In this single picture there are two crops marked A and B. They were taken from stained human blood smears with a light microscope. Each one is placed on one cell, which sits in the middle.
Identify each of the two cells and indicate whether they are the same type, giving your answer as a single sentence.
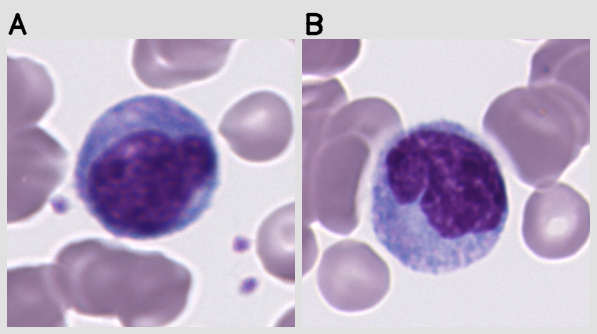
Yes, both crops show monocytes, and that holds for each one.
